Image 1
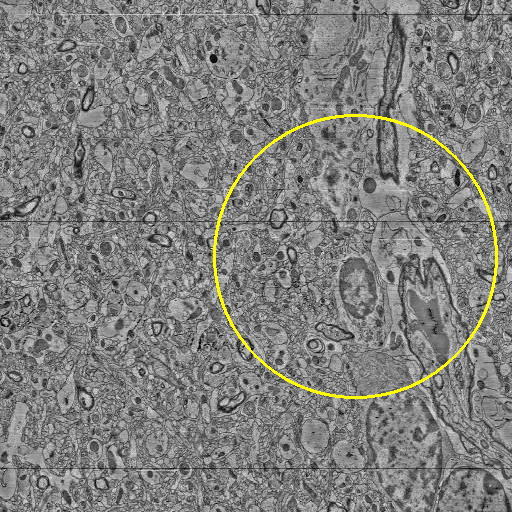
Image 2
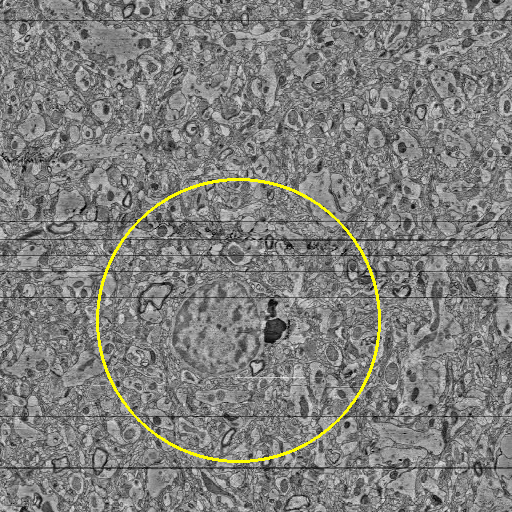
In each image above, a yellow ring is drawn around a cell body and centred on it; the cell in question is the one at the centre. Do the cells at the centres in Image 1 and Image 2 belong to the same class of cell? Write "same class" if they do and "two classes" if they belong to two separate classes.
two classes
